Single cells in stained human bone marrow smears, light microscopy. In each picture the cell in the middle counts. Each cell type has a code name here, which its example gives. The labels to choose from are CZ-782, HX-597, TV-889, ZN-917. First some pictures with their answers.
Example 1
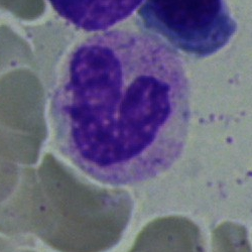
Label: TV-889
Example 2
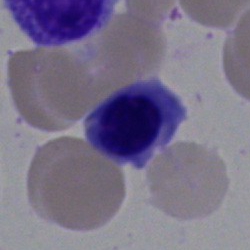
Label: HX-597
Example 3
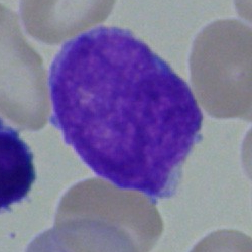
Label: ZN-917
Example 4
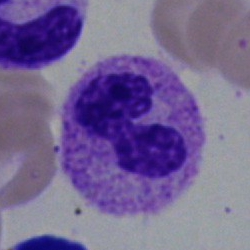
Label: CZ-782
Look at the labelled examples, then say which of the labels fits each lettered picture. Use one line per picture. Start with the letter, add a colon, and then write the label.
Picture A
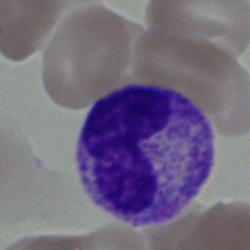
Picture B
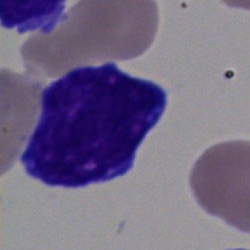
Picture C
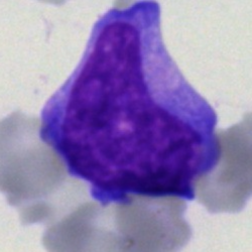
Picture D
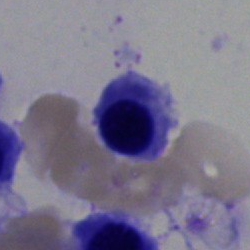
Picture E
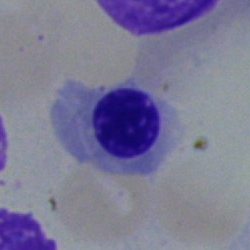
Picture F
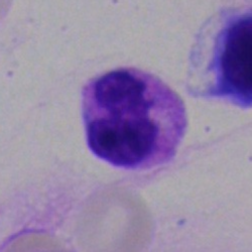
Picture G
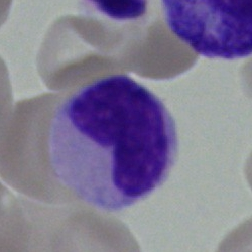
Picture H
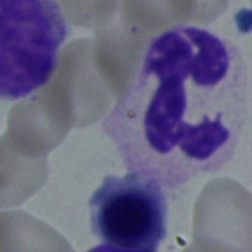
A: TV-889
B: ZN-917
C: ZN-917
D: HX-597
E: HX-597
F: CZ-782
G: TV-889
H: CZ-782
